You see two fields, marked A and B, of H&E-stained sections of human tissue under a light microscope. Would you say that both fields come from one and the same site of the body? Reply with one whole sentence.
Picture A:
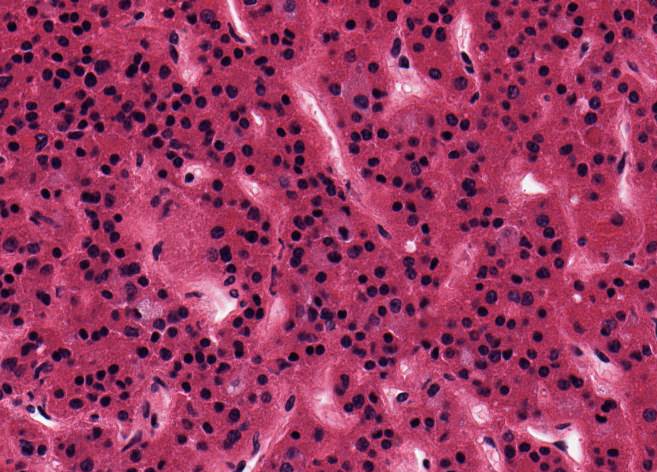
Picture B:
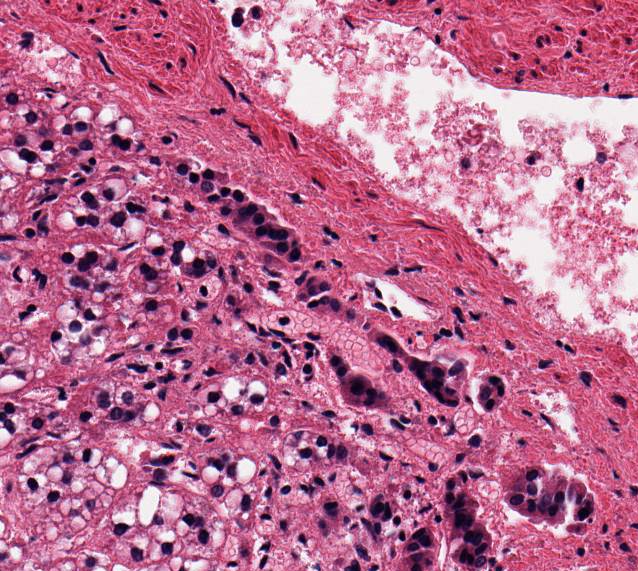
No. Picture A comes from the pituitary, whereas picture B comes from the adrenal gland.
